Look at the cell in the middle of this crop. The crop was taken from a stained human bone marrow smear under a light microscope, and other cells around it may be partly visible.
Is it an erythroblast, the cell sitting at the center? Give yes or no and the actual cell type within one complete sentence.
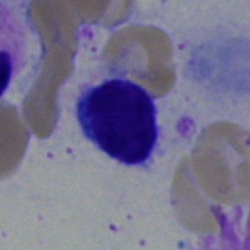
No, an erythroblast is not what the central cell is; it is a lymphocyte.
